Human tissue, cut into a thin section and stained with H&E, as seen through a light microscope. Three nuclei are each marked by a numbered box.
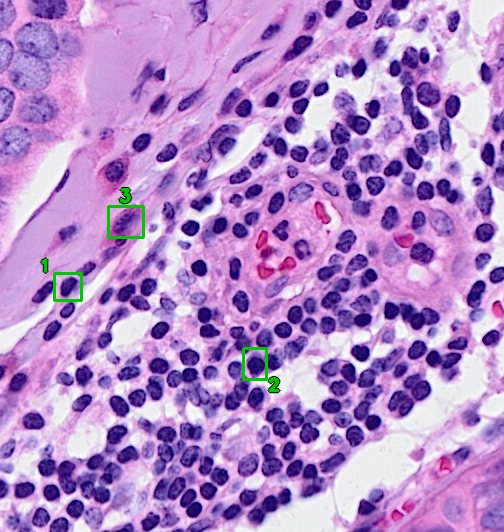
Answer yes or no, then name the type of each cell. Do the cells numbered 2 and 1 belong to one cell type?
Yes, cells 2 and 1 both belong among the lymphocytes.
